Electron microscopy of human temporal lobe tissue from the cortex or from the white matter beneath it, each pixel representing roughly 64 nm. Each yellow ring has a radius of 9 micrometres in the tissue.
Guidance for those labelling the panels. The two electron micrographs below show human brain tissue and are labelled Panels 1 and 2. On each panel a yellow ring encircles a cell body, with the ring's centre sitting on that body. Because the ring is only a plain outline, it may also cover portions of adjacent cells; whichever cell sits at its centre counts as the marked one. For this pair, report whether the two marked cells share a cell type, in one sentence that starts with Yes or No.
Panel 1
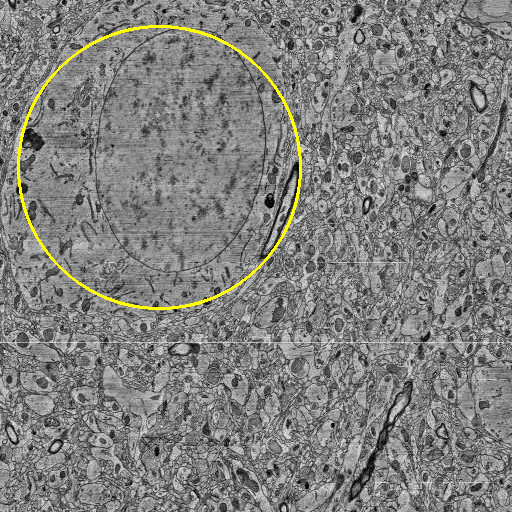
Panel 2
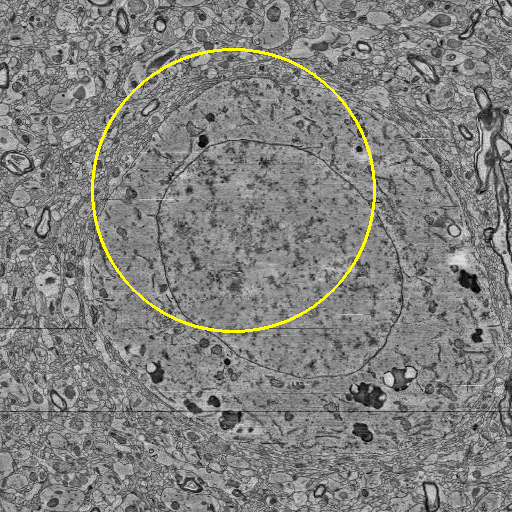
Yes, in Panel 1 and Panel 2 the marked cells at the ring centres share one type.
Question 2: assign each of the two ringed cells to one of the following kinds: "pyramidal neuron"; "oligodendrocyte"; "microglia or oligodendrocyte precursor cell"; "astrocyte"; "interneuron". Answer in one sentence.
Each cell, in the first picture and the second, is a pyramidal neuron.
